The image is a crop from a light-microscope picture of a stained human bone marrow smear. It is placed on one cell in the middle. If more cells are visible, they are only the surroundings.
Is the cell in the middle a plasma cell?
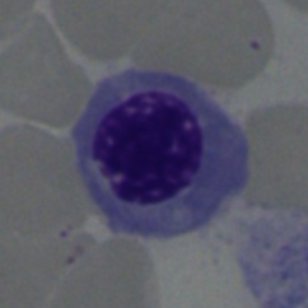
no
